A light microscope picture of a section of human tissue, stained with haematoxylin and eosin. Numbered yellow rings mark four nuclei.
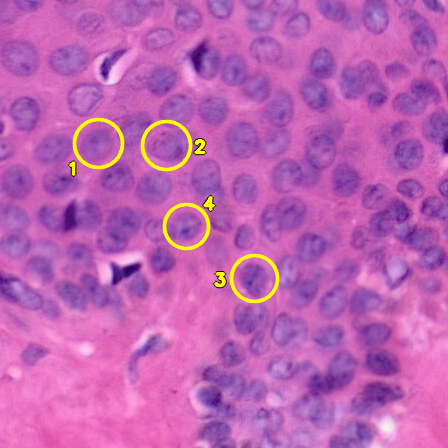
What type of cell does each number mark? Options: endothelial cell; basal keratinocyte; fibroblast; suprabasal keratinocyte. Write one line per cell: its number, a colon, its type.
1: suprabasal keratinocyte
2: suprabasal keratinocyte
3: basal keratinocyte
4: suprabasal keratinocyte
